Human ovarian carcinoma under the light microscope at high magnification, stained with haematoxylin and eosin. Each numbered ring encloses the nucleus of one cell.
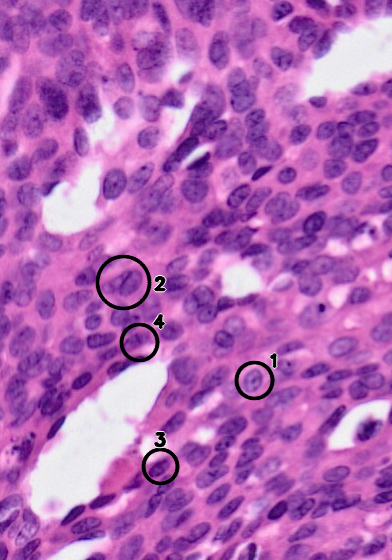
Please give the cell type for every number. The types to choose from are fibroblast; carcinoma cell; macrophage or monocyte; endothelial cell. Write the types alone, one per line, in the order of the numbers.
macrophage or monocyte
carcinoma cell
carcinoma cell
carcinoma cell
